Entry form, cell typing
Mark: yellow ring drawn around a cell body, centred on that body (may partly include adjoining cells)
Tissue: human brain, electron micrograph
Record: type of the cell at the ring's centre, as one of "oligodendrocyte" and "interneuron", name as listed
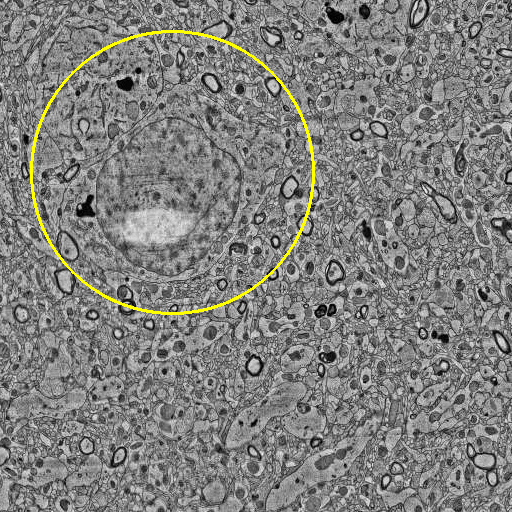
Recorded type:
interneuron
